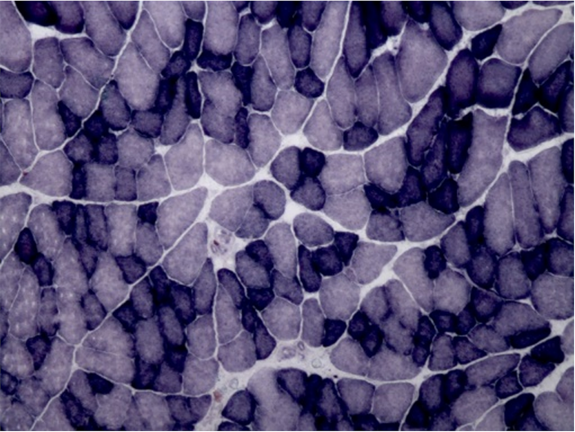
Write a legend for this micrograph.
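A cross-section of skeletal muscle shows polygonal muscle fibers packed into fascicles, separated by thin pale spaces. The fibers form a mosaic of dark purple and pale lilac fibers, with many darkly stained fibers lying in groups among the paler ones.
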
